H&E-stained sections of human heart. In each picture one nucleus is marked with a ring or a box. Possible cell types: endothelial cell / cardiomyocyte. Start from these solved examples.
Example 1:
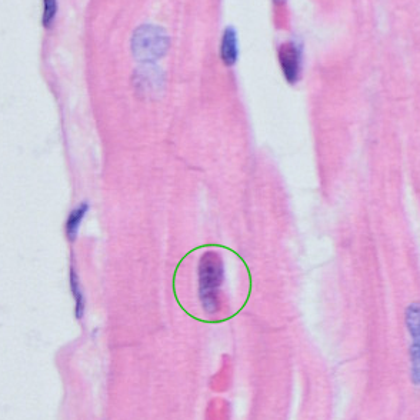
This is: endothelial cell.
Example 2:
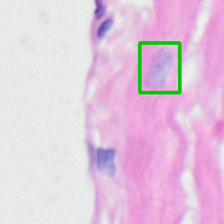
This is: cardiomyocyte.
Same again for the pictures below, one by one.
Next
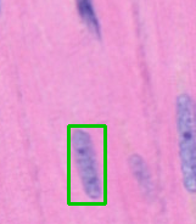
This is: cardiomyocyte.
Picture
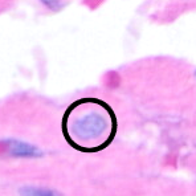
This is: cardiomyocyte.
